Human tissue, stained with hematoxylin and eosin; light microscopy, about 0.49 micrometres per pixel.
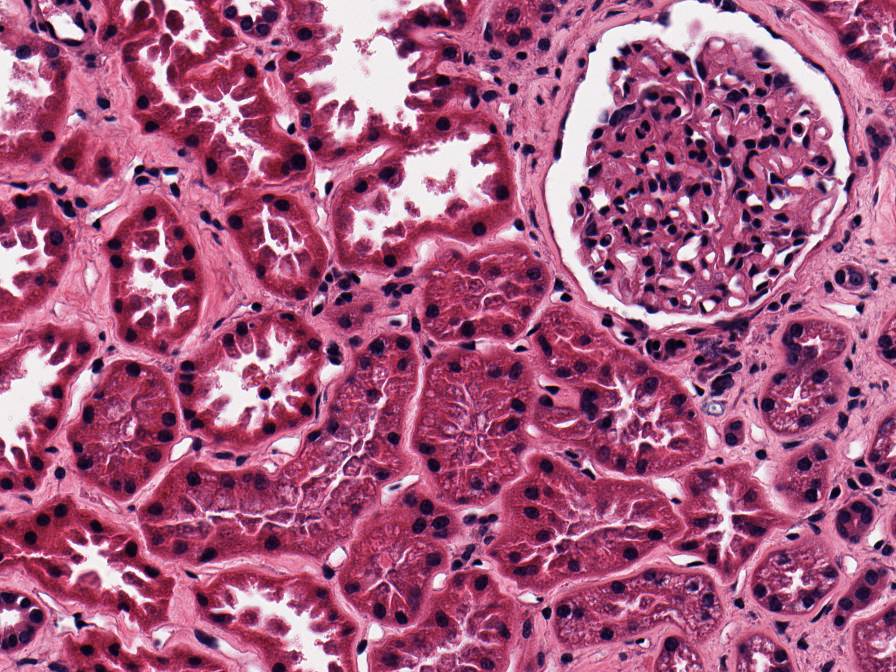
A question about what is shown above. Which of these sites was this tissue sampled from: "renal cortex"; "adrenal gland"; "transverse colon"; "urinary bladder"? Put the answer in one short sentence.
The site this tissue was sampled from is the renal cortex.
